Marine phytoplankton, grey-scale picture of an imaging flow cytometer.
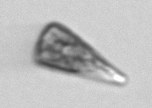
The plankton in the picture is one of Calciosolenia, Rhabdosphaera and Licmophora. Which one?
Licmophora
